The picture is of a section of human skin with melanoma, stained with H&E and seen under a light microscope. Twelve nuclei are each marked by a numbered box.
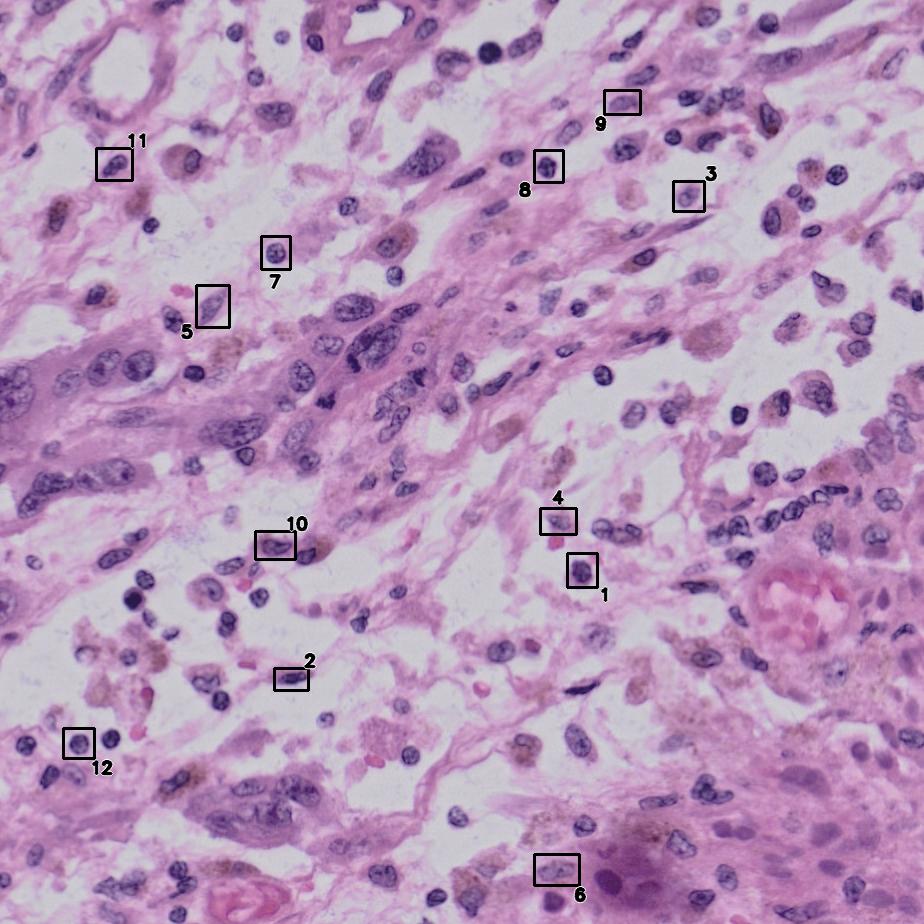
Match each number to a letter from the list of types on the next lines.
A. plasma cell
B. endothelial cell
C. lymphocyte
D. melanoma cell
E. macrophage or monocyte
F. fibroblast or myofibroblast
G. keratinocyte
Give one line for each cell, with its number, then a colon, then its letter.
1: E
2: C
3: E
4: E
5: E
6: E
7: C
8: C
9: E
10: E
11: C
12: C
